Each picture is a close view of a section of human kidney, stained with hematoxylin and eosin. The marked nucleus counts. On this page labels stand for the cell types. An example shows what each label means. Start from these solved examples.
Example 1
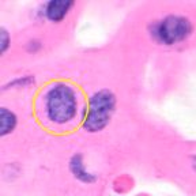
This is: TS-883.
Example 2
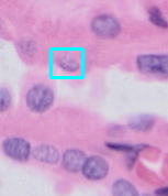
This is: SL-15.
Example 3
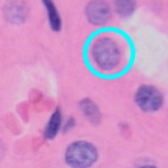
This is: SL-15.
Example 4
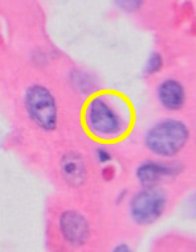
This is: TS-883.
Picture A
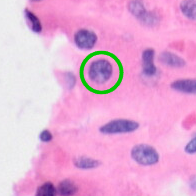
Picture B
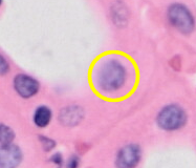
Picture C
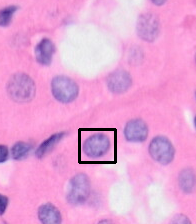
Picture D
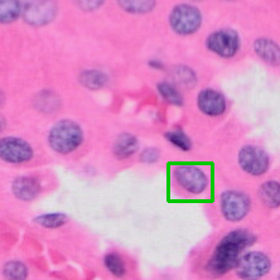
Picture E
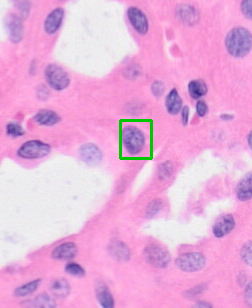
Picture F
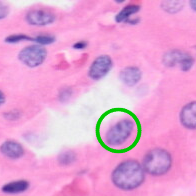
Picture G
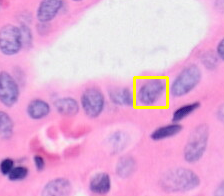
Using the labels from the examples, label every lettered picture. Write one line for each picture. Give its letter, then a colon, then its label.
A: SL-15.
B: SL-15.
C: SL-15.
D: SL-15.
E: SL-15.
F: SL-15.
G: TS-883.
